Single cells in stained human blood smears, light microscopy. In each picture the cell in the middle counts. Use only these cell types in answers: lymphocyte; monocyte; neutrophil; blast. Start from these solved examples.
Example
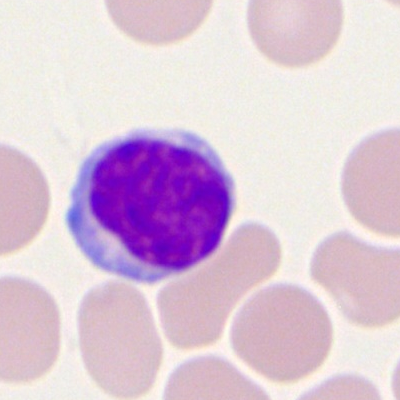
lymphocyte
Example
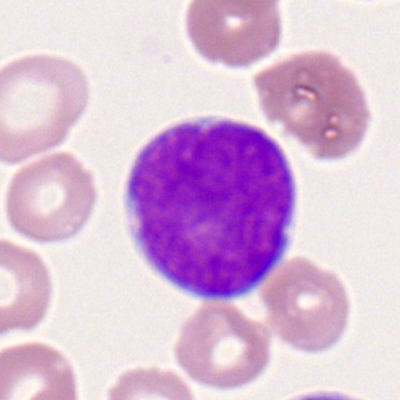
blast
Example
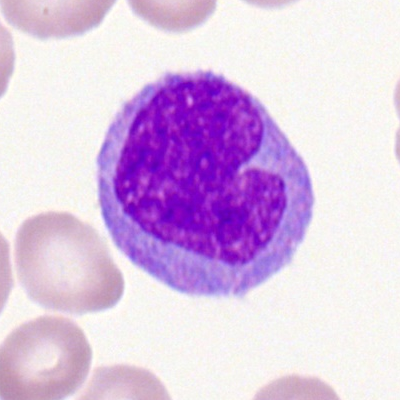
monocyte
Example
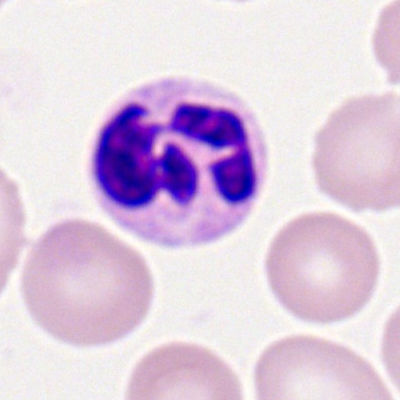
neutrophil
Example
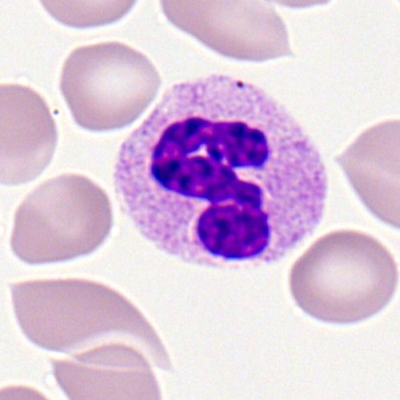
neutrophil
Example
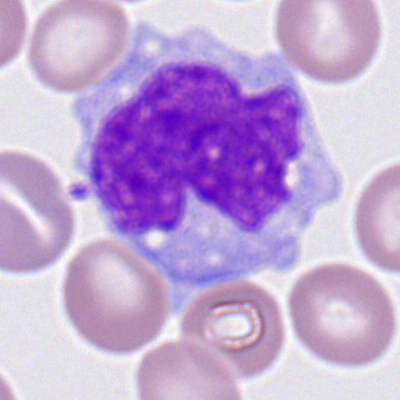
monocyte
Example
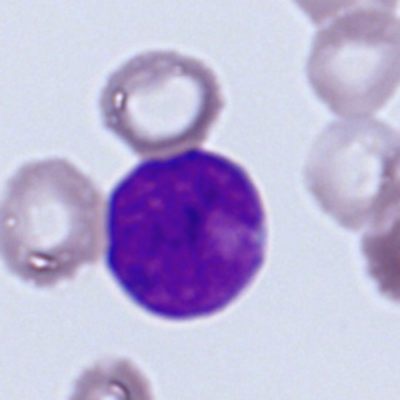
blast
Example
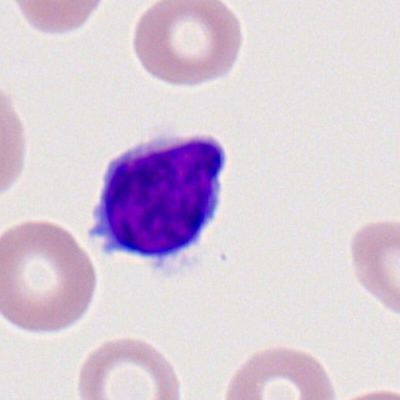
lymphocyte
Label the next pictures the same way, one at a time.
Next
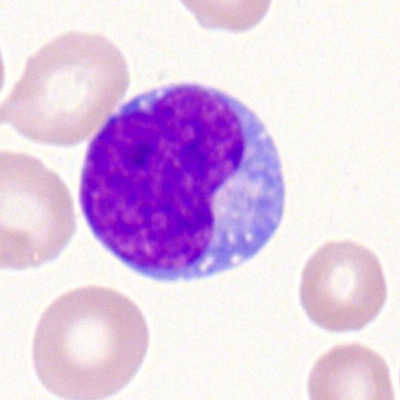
blast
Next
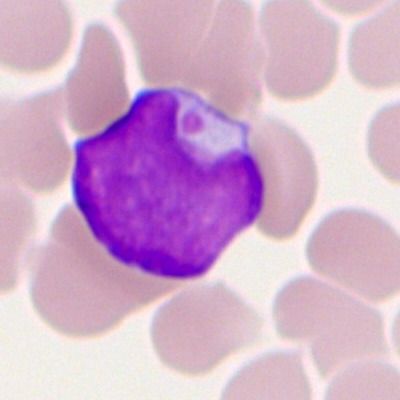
blast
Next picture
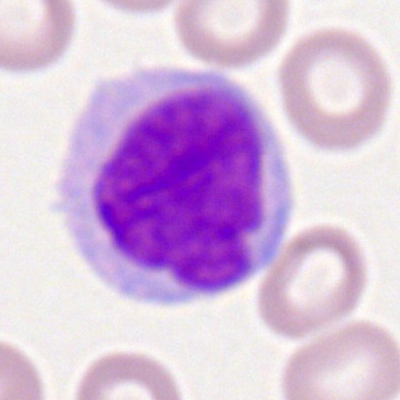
monocyte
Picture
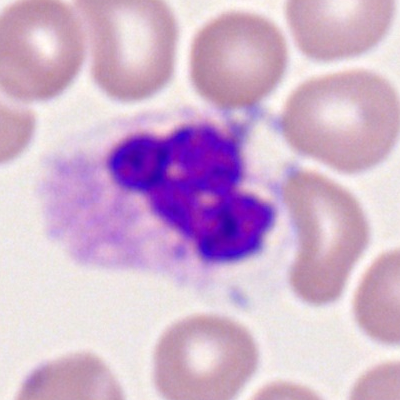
neutrophil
